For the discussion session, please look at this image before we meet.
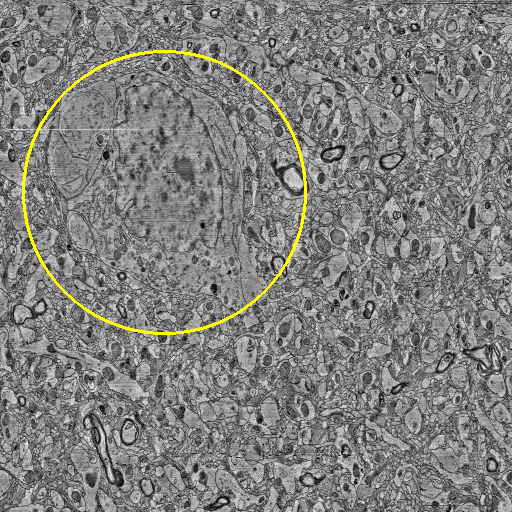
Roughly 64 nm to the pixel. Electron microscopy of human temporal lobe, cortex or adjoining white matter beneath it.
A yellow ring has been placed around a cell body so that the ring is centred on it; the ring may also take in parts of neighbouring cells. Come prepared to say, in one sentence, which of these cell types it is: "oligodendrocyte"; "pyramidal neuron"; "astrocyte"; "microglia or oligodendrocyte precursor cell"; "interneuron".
The cell centred in the ring is an interneuron.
